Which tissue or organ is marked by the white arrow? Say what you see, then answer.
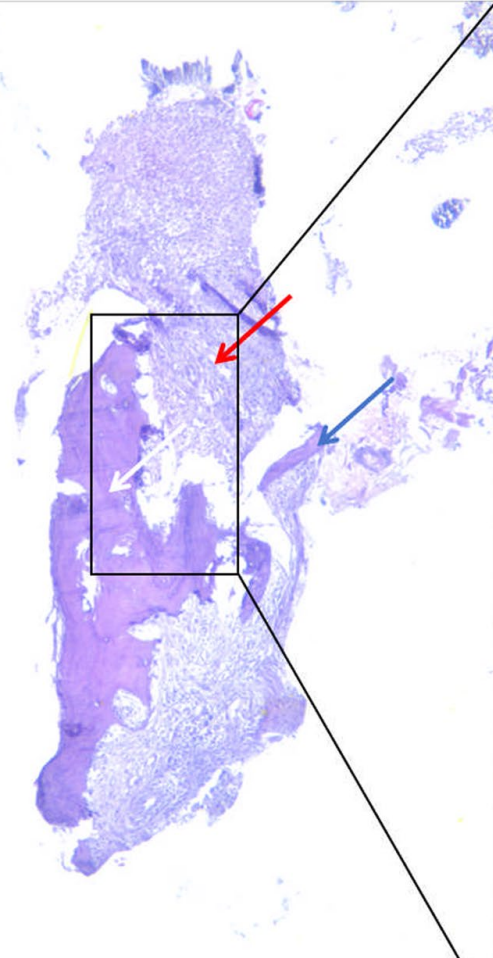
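The arrow points into a large, solid, deep purple mass of matrix that is denser than the surrounding tissue.
Hence: Bone tissue.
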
